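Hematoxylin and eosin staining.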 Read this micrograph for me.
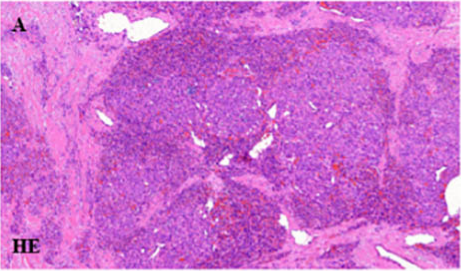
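This low-power view shows a lesion built of large, rounded, densely cellular lobules that give a glomeruloid pattern. Between the lobules run bands of pale pink fibrous tissue that divide the lesion into separate nodules. Scattered through the lobules are small slit-like and rounded empty spaces, vascular channels, and patches of red blood cells give parts of the lobules a reddish tinge. The overall picture is of a cellular, lobulated, vessel-rich proliferation within fibrous stroma.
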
